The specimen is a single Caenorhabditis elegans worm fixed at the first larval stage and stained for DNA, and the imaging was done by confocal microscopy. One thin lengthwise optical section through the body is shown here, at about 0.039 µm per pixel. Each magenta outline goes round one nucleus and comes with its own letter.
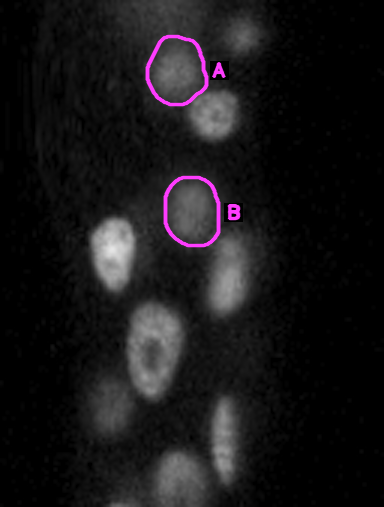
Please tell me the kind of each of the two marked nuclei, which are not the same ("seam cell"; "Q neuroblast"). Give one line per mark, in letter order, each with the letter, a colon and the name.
A: Q neuroblast
B: seam cell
